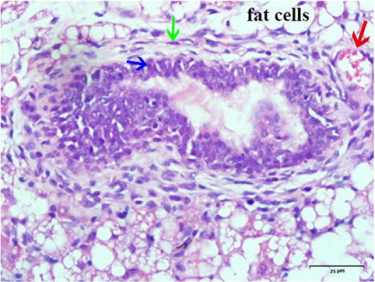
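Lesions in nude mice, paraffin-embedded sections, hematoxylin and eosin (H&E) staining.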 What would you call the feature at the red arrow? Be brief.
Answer: blood vessels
